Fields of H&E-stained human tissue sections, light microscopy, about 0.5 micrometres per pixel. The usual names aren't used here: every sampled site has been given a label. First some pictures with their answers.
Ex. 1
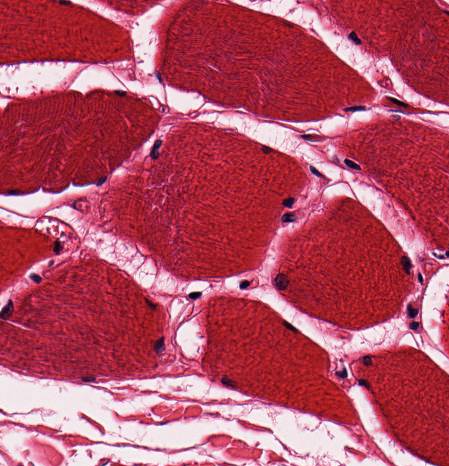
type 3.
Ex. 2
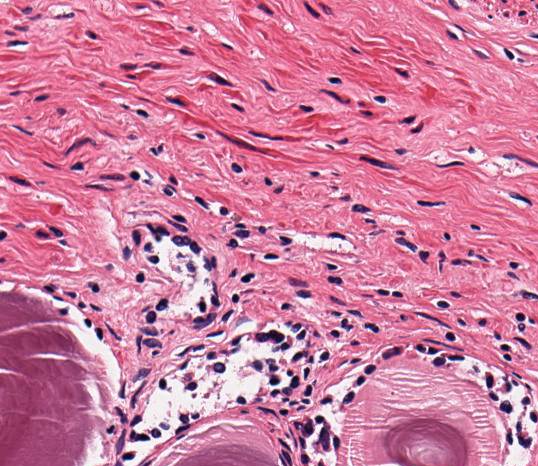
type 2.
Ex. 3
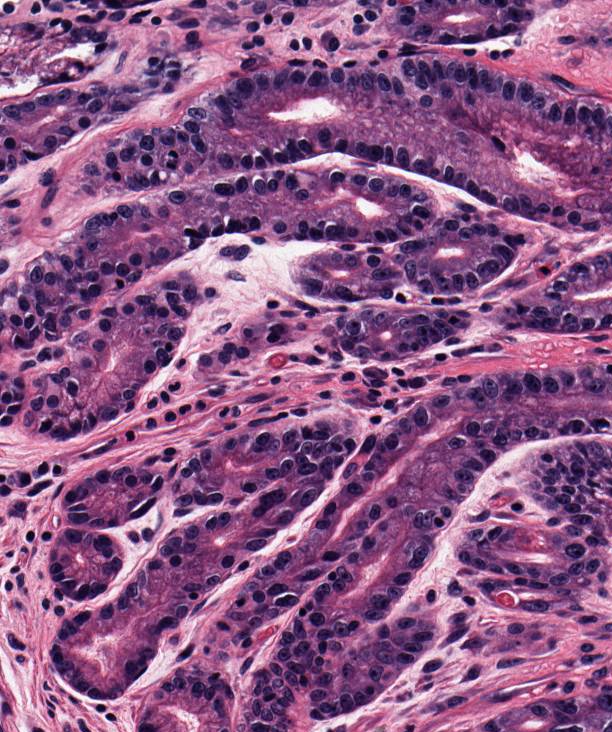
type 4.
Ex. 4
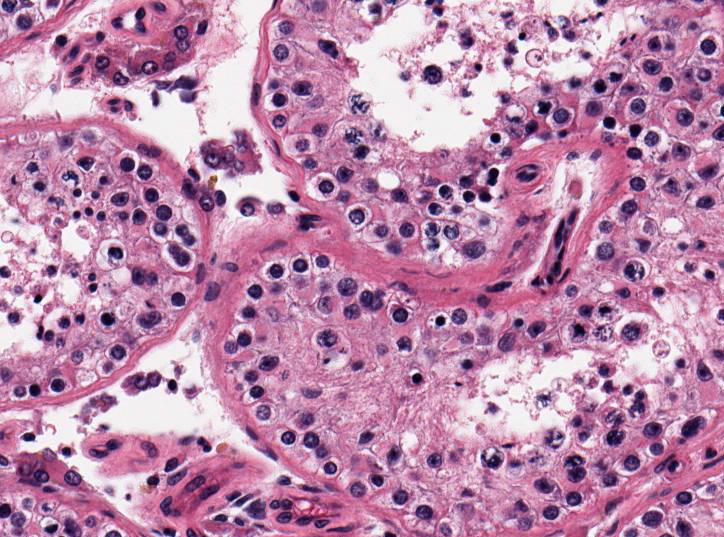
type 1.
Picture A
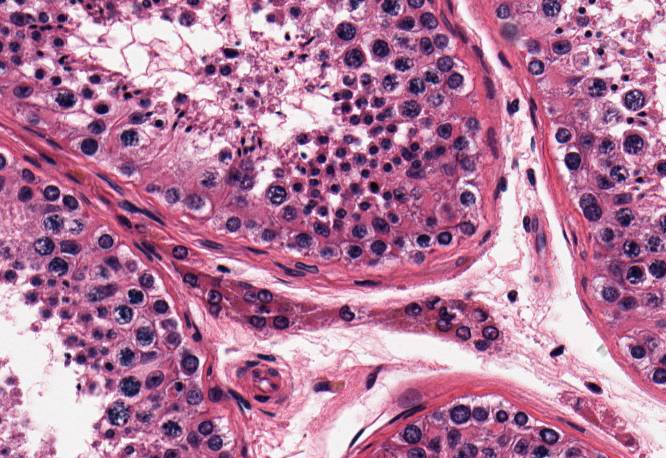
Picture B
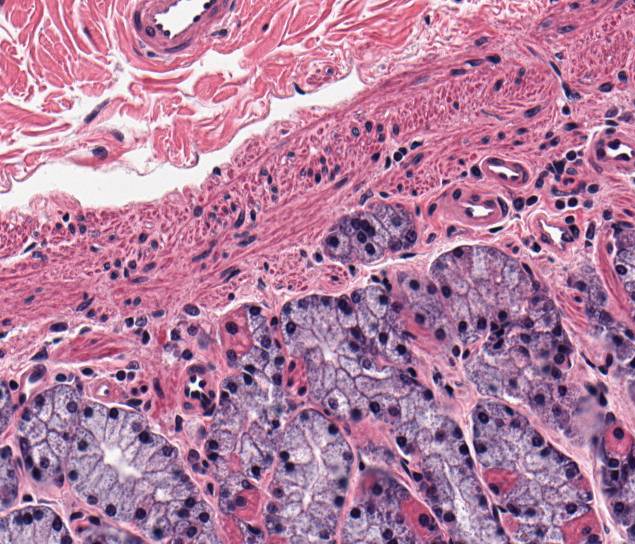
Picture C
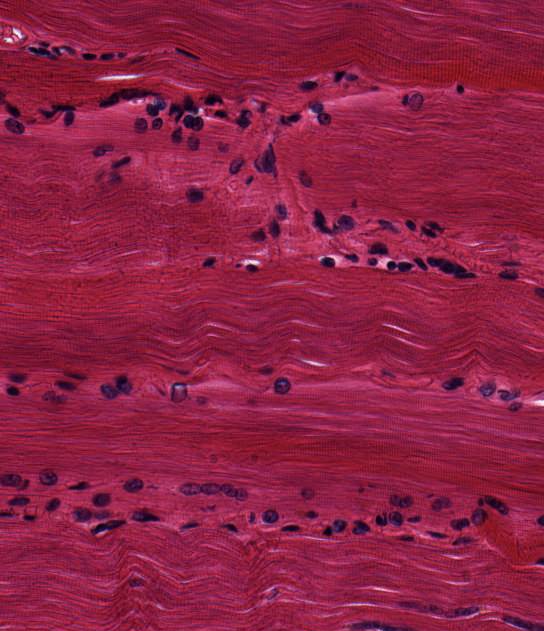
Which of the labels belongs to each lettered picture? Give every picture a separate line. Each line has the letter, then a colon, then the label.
A: type 1.
B: type 4.
C: type 3.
